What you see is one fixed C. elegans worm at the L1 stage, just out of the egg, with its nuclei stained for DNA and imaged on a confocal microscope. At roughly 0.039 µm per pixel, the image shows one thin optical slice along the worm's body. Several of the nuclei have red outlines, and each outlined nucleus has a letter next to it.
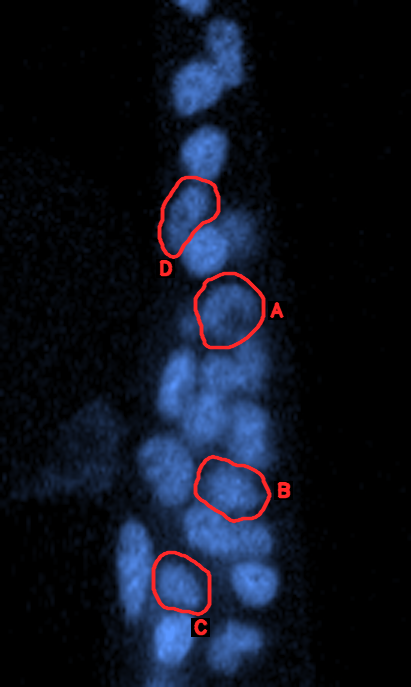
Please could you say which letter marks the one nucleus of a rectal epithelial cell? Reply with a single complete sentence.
The nucleus of a rectal epithelial cell is C.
